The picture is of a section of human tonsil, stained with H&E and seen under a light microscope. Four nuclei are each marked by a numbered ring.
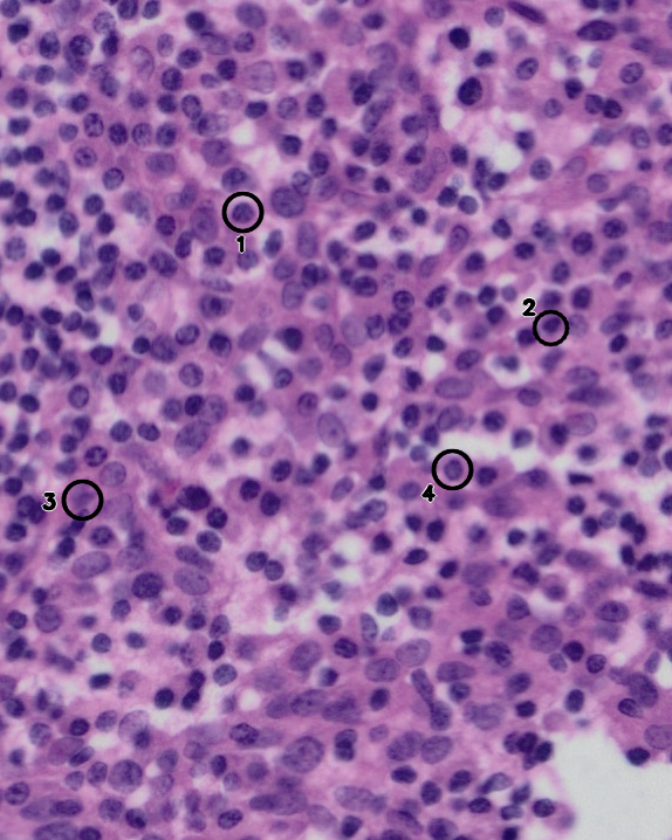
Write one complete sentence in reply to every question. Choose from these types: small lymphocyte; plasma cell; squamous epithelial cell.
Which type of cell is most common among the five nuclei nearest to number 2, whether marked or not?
Plasma cells account for more than half of the five nuclei nearest to number 2.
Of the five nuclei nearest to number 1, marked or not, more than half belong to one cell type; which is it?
Most of the five nuclei nearest to number 1 are those of squamous epithelial cells.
